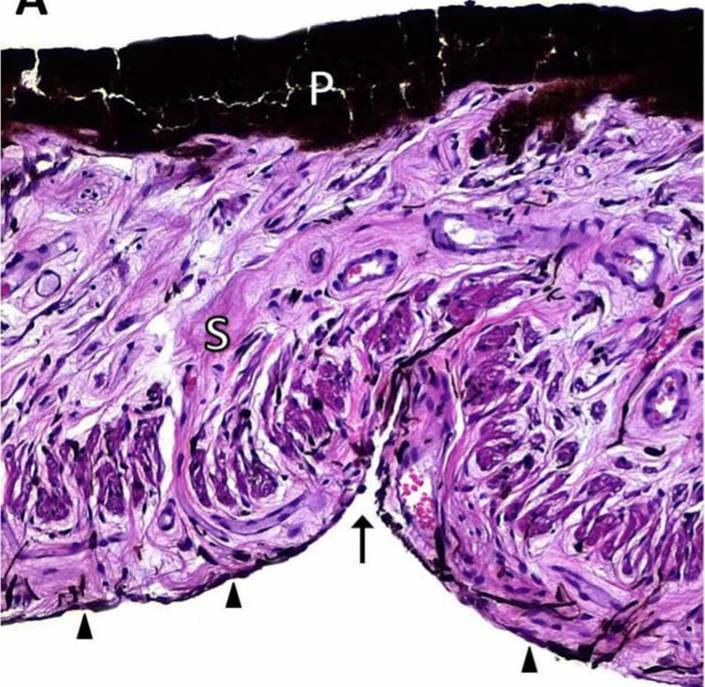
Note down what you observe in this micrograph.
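This cross section of the iris shows three layers: a densely black posterior pigmented epithelium along the top, a broad pink stroma in the middle, and the anterior border layer along the lower free surface. The stroma consists of loose, wavy pink collagen with scattered elongated dark purple nuclei, small blood vessels with thick walls, and bundles of closely packed cells. The lower surface bulges into rounded ridges separated by a narrow, deep cleft, a crypt, and red blood cells can be seen in a vessel beside it. The anterior border layer and the stroma hold only little dark pigment, so the tissue looks mostly pink and purple.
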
